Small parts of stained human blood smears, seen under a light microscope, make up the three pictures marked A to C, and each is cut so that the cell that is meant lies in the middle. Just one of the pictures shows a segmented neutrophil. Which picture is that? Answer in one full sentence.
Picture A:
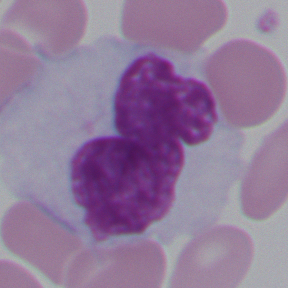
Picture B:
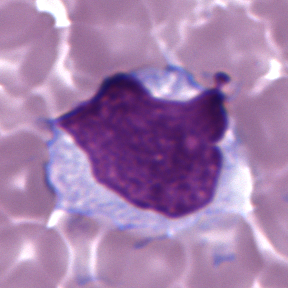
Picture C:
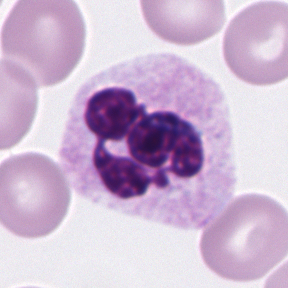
Picture C shows the segmented neutrophil.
